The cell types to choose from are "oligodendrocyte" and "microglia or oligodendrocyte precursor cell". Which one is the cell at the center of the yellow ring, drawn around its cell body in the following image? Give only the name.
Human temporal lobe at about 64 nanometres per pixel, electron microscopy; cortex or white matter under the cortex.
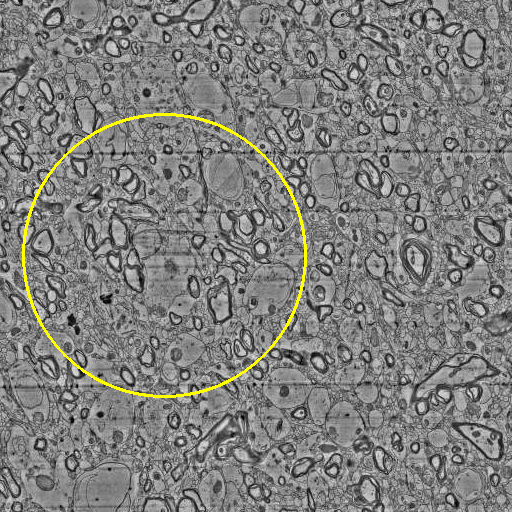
microglia or oligodendrocyte precursor cell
